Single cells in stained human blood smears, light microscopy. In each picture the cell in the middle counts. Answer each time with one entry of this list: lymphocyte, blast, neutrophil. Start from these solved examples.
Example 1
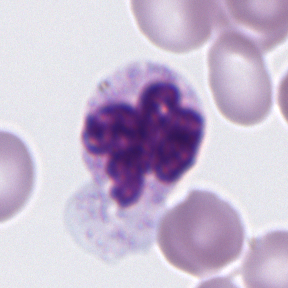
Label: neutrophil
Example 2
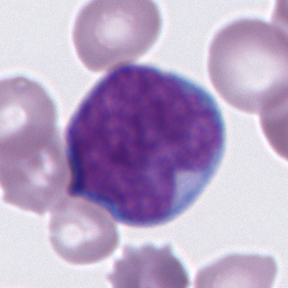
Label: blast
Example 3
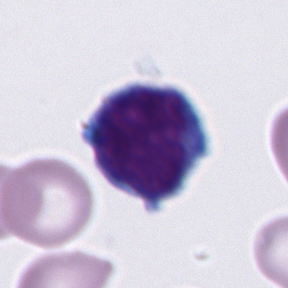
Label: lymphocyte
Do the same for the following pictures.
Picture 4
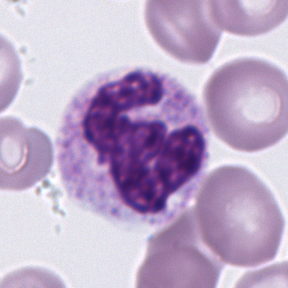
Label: neutrophil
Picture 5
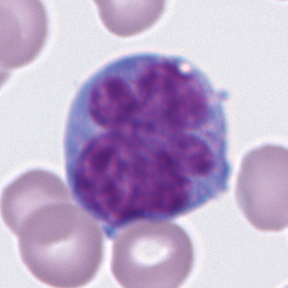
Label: blast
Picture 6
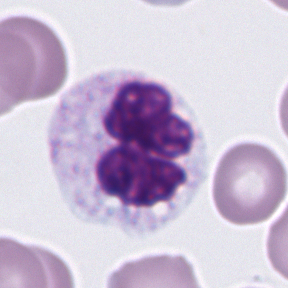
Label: neutrophil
